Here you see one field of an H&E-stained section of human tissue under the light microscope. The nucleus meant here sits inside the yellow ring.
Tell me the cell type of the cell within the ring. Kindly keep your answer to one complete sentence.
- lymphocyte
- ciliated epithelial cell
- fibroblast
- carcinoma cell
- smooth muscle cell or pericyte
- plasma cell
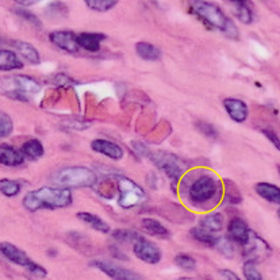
To be brief about it, the cell within the ring is a plasma cell.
